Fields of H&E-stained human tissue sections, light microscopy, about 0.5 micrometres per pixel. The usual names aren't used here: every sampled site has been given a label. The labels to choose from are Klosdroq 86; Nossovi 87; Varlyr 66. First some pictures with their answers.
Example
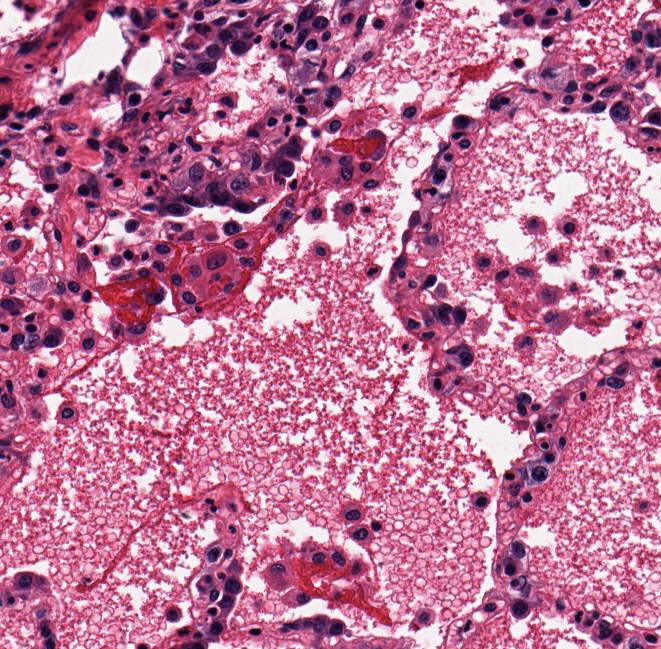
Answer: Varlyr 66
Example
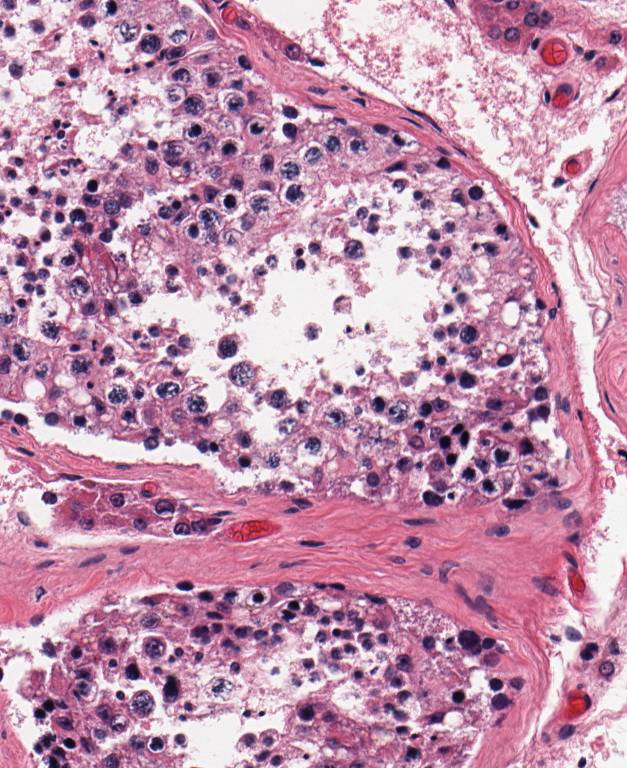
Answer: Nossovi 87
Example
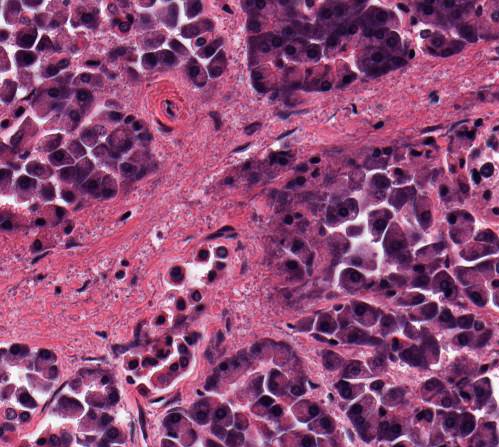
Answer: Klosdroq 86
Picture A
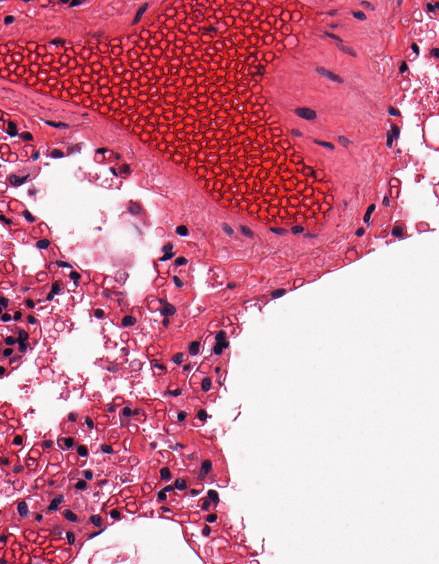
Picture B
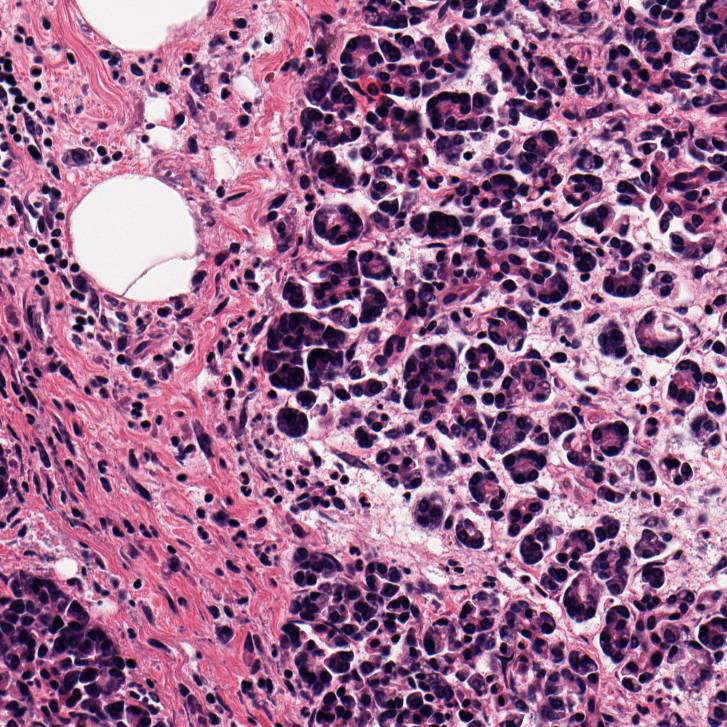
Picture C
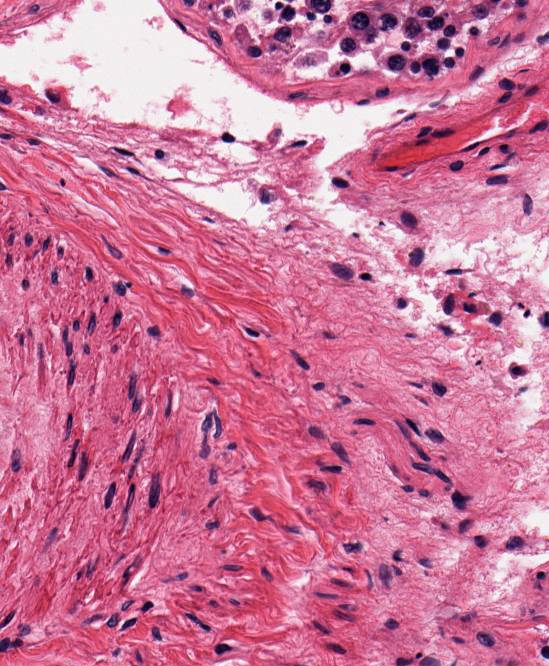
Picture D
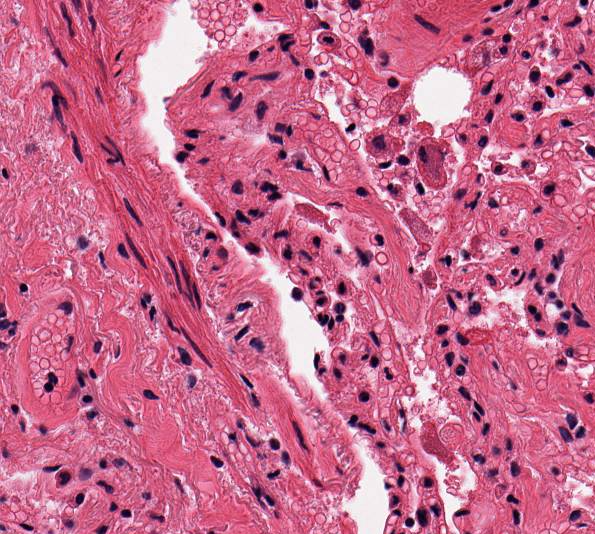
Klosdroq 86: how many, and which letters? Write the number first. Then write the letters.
1: B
